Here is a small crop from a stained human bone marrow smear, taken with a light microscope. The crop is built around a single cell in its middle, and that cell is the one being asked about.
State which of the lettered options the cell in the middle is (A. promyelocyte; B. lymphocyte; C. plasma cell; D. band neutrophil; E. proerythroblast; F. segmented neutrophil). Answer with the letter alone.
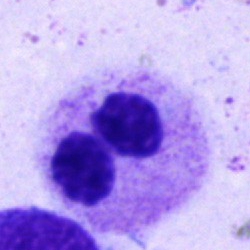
F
